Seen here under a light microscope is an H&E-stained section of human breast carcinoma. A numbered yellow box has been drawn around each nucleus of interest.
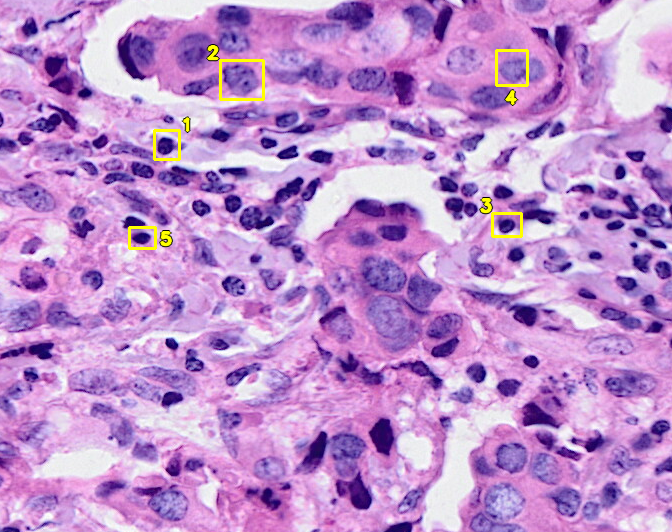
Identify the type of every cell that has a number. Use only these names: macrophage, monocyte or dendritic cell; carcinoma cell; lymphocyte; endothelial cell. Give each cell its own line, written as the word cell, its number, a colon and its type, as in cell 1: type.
cell 1: lymphocyte
cell 2: carcinoma cell
cell 3: lymphocyte
cell 4: carcinoma cell
cell 5: lymphocyte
